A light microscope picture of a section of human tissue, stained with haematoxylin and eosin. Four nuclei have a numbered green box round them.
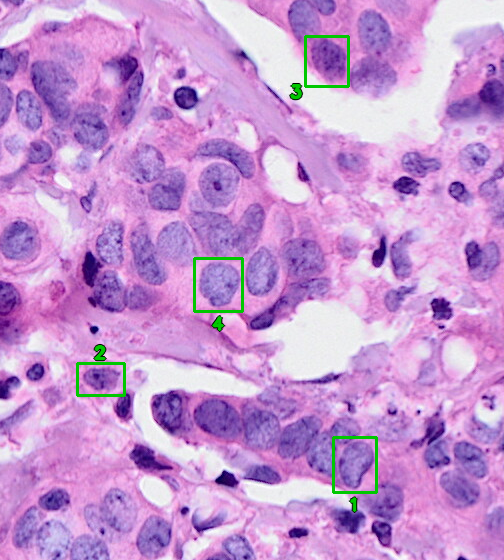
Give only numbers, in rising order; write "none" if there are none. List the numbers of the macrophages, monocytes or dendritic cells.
2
